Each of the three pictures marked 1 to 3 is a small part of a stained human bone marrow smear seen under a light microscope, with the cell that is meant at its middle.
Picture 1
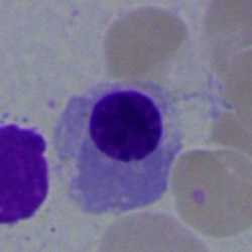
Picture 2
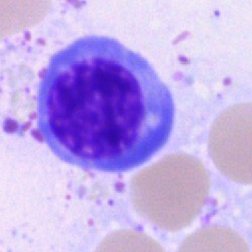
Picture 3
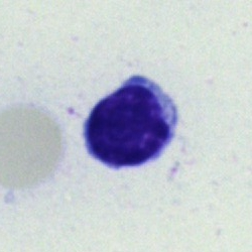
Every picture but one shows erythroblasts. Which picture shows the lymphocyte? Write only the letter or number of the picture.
3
